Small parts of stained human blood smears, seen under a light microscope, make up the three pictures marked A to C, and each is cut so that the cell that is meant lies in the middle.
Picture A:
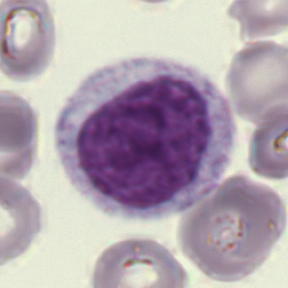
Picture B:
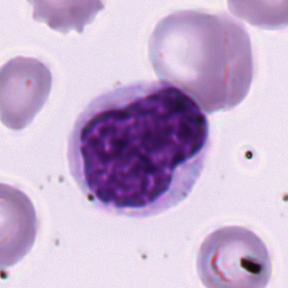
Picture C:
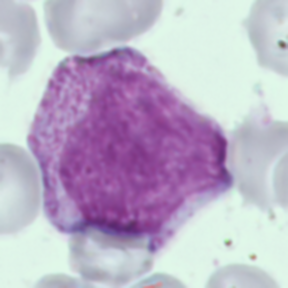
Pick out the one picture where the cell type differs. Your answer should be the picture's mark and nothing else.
B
